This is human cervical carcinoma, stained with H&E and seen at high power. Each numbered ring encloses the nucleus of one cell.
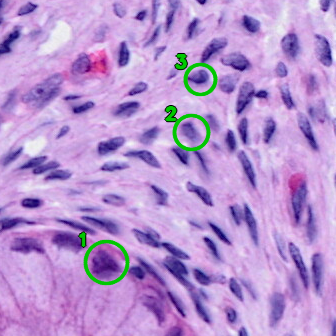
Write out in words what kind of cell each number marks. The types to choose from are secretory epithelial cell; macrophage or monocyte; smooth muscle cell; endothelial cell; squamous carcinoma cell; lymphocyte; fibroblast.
Cell 1 is a secretory epithelial cell. Cells 2 and 3 are fibroblasts.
